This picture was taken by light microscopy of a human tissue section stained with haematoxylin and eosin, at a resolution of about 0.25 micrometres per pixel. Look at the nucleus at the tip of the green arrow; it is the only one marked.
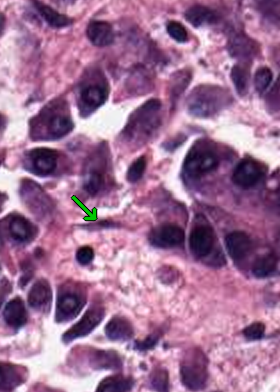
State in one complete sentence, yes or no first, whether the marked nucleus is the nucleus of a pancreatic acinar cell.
No, the marked nucleus sits in a supporting cell; a pancreatic acinar cell does not contain it.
